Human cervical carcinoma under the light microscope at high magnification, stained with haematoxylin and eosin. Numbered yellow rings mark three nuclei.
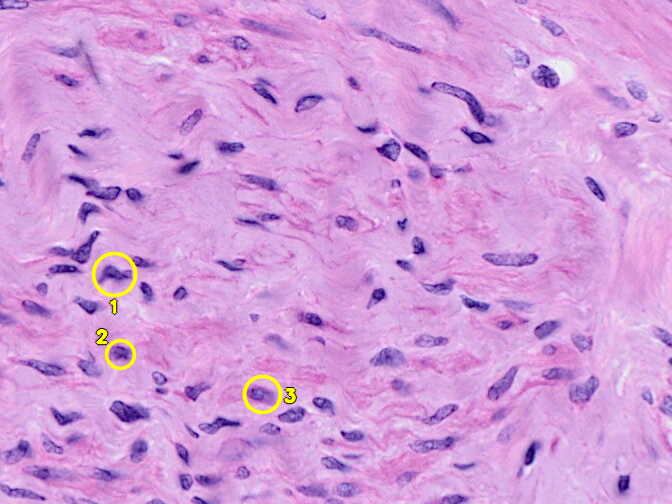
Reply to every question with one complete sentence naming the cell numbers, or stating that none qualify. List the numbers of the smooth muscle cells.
Cells that were given the numbers 2 and 3 are smooth muscle cells.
